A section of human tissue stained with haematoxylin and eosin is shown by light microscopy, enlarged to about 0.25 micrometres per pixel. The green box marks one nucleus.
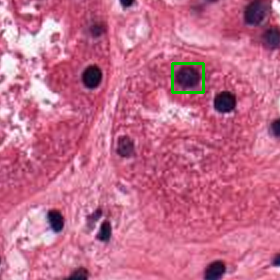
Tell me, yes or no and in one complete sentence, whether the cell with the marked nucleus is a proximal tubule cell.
Yes, a proximal tubule cell is what the marked nucleus belongs to.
